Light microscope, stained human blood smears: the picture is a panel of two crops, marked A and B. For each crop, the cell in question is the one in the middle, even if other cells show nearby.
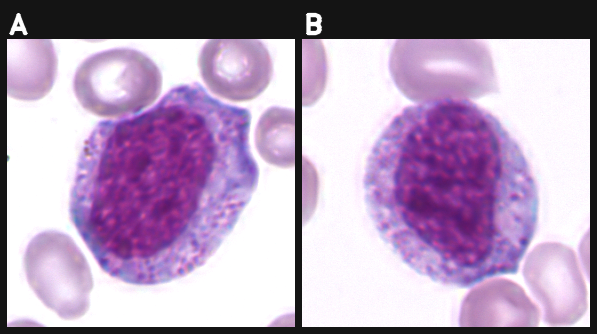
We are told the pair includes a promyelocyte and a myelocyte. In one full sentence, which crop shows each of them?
The cell that crop A centres on is a promyelocyte, and the cell that crop B centres on is a myelocyte.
